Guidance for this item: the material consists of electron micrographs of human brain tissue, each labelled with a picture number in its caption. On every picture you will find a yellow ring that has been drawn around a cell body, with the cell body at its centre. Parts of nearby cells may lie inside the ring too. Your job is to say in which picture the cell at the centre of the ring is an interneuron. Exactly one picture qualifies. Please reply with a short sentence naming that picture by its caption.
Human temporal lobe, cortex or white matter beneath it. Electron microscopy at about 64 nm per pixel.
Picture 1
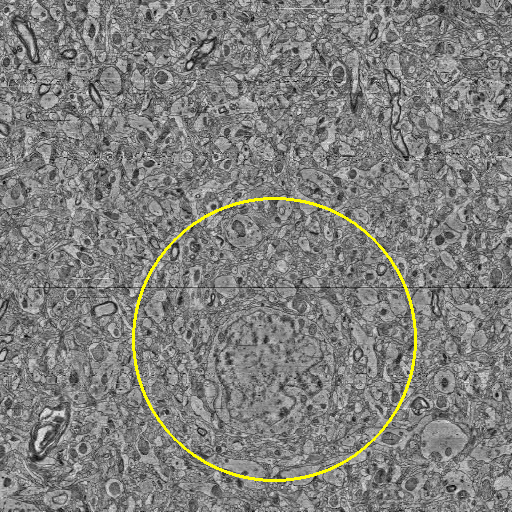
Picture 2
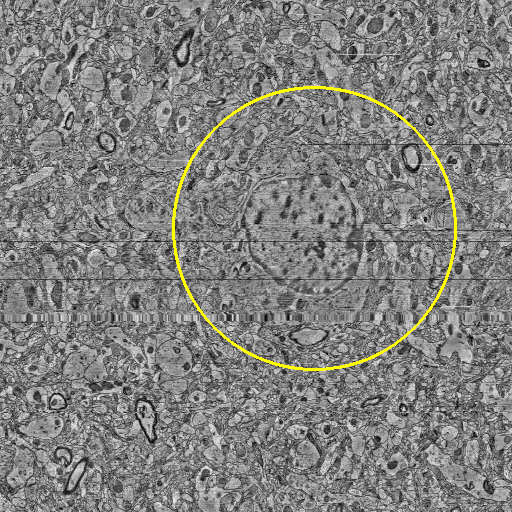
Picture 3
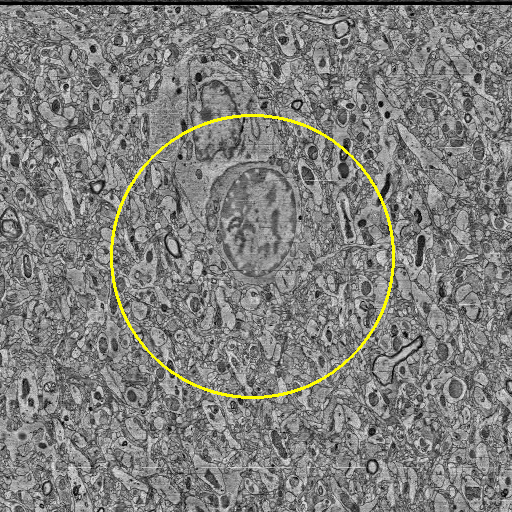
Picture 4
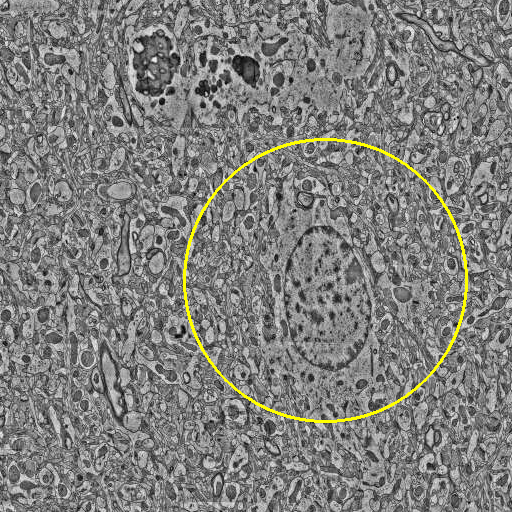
Picture 1 shows it at the centre of the ring.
